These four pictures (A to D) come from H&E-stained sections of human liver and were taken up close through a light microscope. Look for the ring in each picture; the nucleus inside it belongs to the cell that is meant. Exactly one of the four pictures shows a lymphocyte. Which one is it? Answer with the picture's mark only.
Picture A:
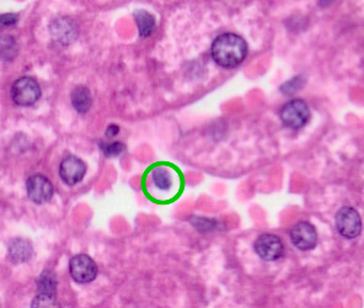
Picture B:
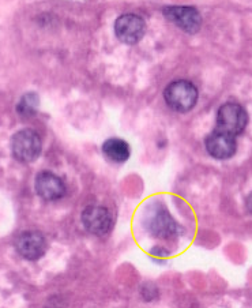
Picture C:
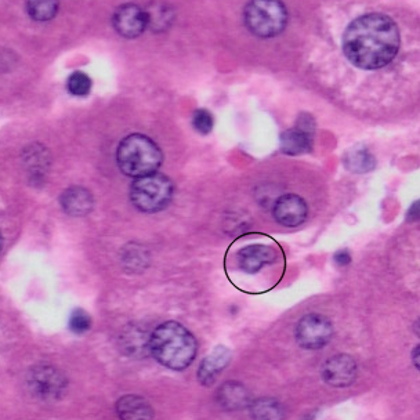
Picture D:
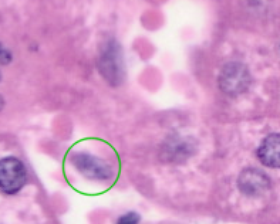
A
